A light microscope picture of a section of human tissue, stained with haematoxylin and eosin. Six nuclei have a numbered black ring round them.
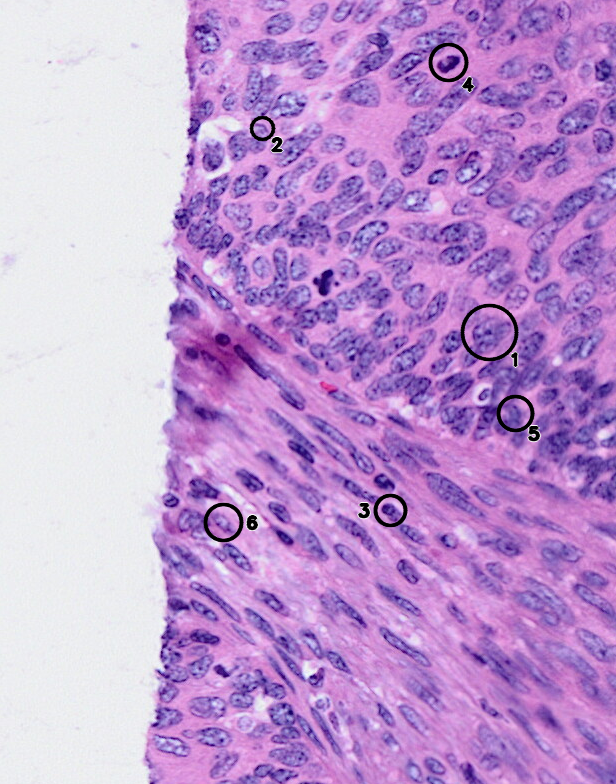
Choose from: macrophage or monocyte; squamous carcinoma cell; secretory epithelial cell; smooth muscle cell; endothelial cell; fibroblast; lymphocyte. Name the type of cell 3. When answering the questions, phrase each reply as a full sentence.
The cell that goes by number 3 is a lymphocyte.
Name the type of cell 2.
The cell whose nucleus carries the number 2 is a squamous carcinoma cell.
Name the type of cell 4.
The cell numbered 4 represents a squamous carcinoma cell.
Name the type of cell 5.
The cell to which the number 5 is assigned is a squamous carcinoma cell.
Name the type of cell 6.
Looking at the numbered marks, cell 6 is an endothelial cell.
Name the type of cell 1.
The cell pointed out by number 1 is a squamous carcinoma cell.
